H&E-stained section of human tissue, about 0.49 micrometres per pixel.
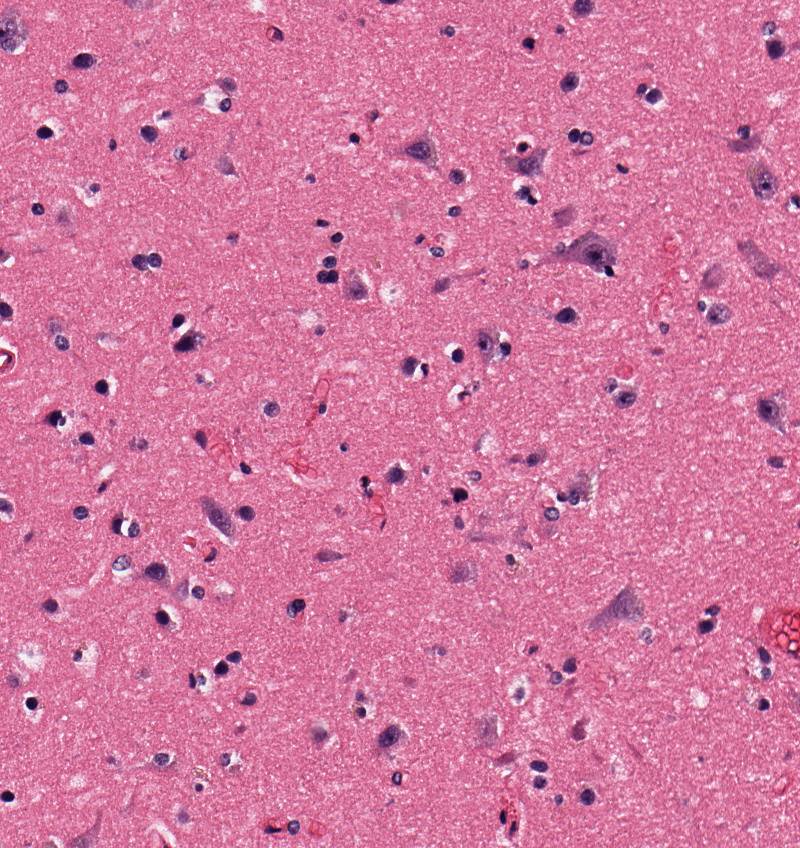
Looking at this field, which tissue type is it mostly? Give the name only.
cerebral cortex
